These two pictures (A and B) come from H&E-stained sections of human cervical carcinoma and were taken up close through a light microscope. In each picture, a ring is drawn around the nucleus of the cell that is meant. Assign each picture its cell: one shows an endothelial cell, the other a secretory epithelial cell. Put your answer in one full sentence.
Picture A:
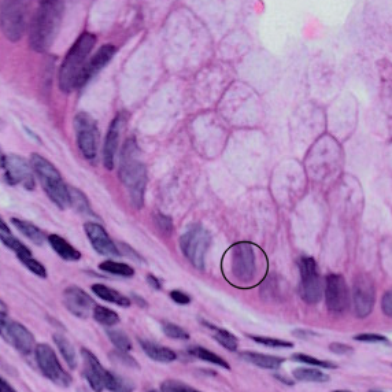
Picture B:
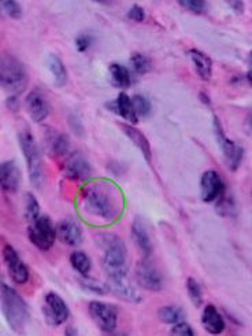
Picture A is of a secretory epithelial cell, and picture B is of an endothelial cell.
